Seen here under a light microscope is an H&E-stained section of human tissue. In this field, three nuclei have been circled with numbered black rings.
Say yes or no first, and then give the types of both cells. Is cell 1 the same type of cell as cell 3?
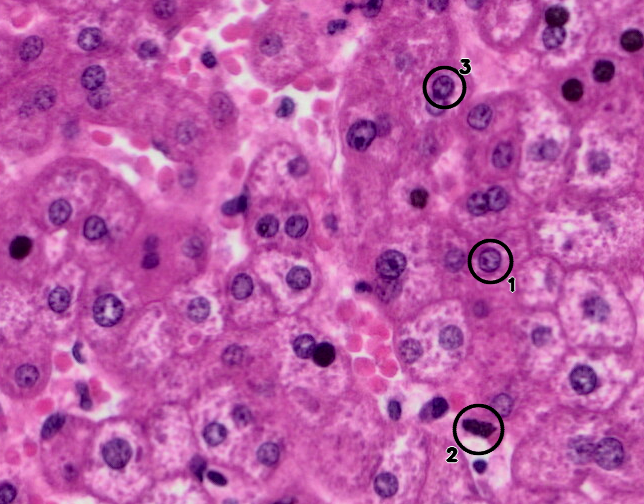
Yes, that is right: cells 1 and 3 are both hepatocytes.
